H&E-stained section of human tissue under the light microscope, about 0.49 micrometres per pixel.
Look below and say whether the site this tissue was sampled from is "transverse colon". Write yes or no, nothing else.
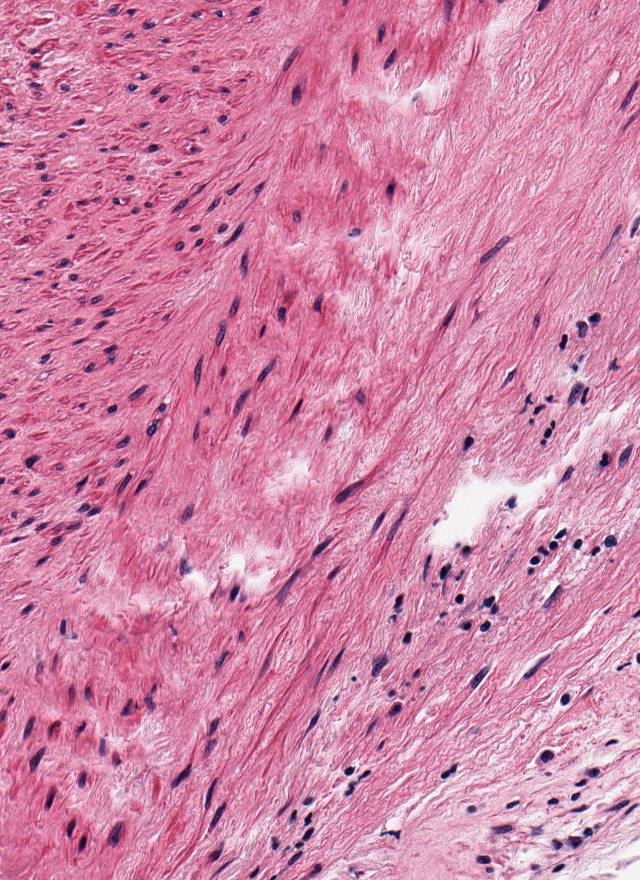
no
